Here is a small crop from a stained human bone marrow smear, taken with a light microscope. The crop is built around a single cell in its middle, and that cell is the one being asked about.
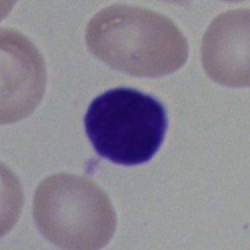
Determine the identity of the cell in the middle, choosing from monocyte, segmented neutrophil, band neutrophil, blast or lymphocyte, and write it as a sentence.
Framed in the middle of the crop is a lymphocyte.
